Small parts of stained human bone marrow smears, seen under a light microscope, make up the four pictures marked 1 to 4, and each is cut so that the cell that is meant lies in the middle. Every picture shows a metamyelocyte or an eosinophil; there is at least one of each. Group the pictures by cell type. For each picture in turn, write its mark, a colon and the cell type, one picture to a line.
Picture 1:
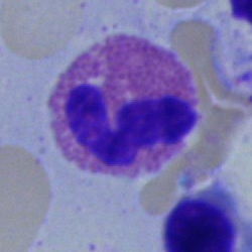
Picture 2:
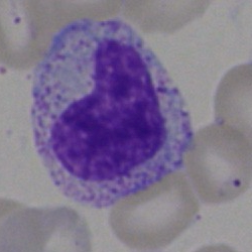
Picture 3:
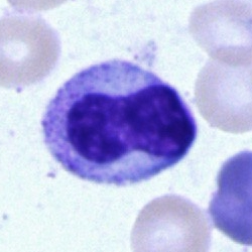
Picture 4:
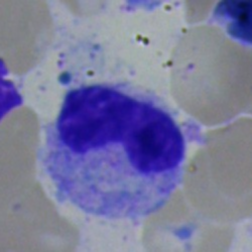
1: eosinophil
2: metamyelocyte
3: metamyelocyte
4: metamyelocyte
